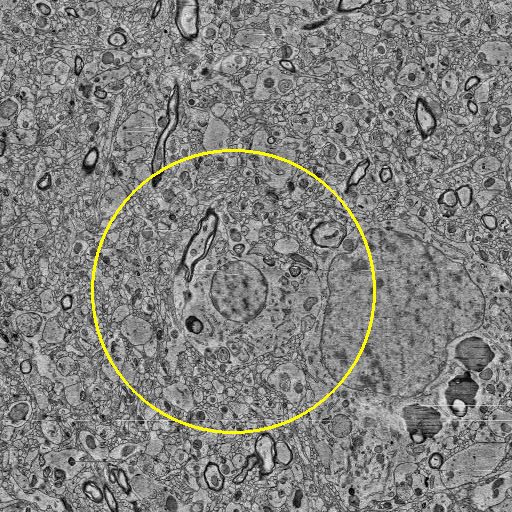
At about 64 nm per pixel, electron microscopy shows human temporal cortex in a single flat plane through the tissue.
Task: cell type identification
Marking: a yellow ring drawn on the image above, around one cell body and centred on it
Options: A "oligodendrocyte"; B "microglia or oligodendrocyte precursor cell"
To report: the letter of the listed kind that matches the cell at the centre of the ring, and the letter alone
B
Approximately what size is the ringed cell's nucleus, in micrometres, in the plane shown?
Approximately 4 micrometres across, in this plane.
